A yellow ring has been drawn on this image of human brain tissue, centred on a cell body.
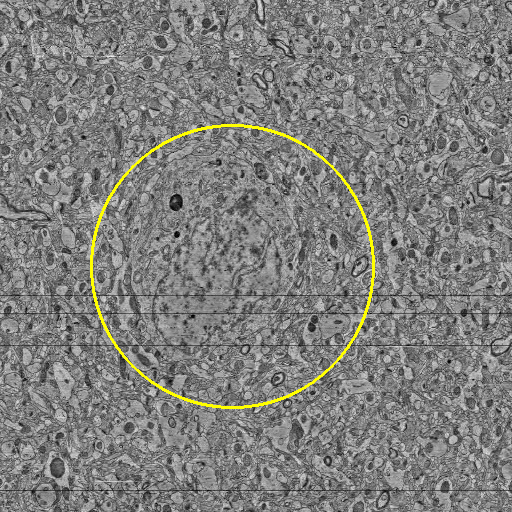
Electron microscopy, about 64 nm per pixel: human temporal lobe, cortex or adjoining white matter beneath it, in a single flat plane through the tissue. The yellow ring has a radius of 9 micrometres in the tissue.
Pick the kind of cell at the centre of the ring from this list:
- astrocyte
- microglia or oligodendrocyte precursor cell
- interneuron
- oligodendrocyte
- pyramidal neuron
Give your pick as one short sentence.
The centre of the ring holds an interneuron.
